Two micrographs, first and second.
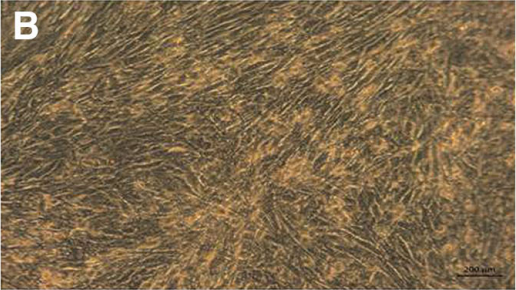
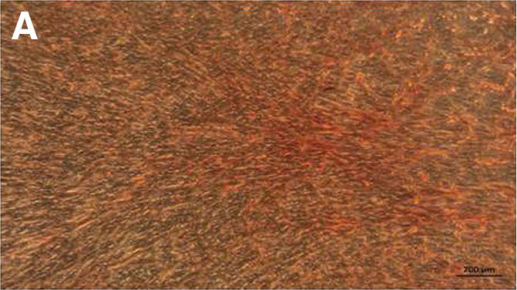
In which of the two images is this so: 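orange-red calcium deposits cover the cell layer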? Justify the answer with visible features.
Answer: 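First image: the dense spindle-shaped cells appear grey and golden with no red stain. Second image: the cell layer is tinted throughout by orange-red stain.
Hence: the second image.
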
